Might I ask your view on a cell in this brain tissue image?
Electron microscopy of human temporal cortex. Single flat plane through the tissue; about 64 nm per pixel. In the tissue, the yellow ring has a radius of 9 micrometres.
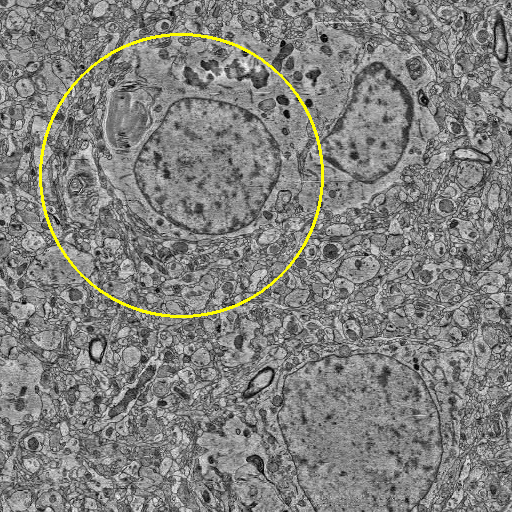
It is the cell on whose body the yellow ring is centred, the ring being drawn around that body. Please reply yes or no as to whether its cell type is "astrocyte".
yes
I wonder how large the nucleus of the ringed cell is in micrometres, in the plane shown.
About 9 micrometres across in this plane.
